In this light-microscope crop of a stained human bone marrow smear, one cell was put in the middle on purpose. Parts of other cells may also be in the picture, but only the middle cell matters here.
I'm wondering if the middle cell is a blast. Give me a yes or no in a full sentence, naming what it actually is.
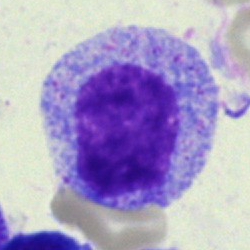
No, the cell in the middle is not a blast but a myelocyte.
